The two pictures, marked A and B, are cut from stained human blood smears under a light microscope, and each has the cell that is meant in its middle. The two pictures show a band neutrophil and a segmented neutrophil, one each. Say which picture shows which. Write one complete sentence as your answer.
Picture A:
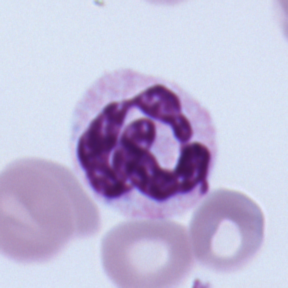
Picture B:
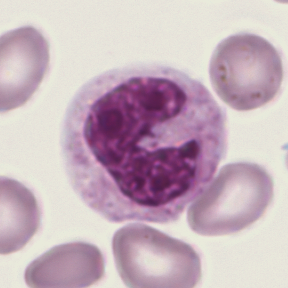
It is picture A that shows a segmented neutrophil, and picture B that shows a band neutrophil.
